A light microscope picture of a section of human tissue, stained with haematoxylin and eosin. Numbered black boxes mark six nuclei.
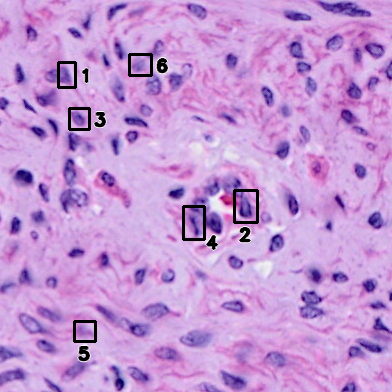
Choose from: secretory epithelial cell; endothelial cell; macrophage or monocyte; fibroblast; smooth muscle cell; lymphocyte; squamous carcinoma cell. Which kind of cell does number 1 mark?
smooth muscle cell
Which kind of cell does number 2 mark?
endothelial cell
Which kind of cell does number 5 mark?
smooth muscle cell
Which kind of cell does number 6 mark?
smooth muscle cell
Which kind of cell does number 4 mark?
endothelial cell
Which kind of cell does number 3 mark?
smooth muscle cell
